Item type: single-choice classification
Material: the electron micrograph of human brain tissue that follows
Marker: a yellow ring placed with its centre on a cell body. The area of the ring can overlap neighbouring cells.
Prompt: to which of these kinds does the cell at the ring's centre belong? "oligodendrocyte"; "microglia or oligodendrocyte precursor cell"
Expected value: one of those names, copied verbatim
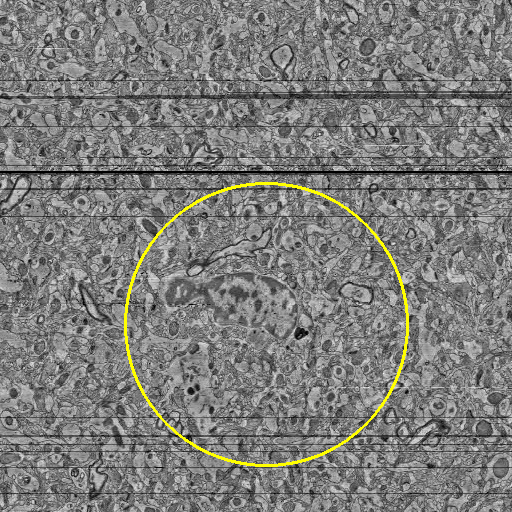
microglia or oligodendrocyte precursor cell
